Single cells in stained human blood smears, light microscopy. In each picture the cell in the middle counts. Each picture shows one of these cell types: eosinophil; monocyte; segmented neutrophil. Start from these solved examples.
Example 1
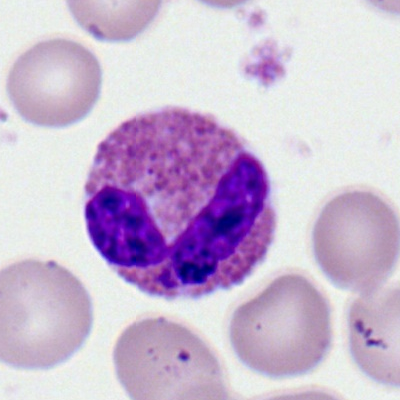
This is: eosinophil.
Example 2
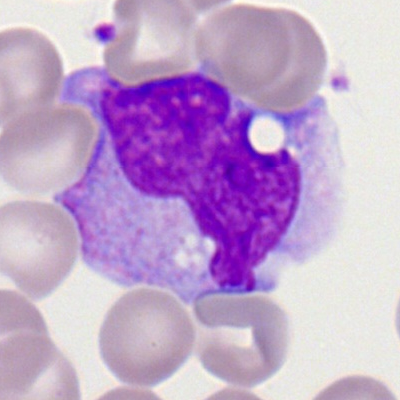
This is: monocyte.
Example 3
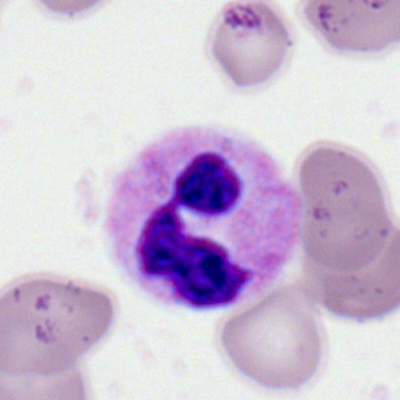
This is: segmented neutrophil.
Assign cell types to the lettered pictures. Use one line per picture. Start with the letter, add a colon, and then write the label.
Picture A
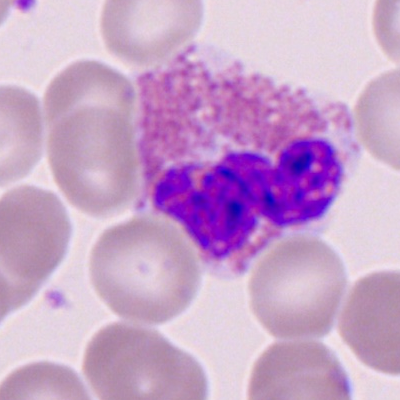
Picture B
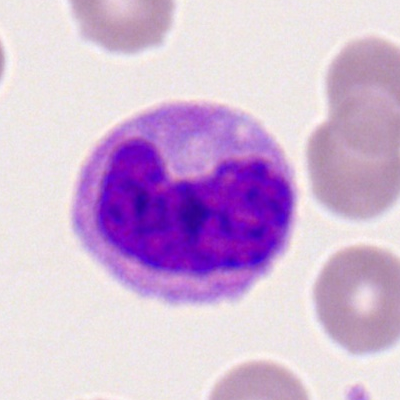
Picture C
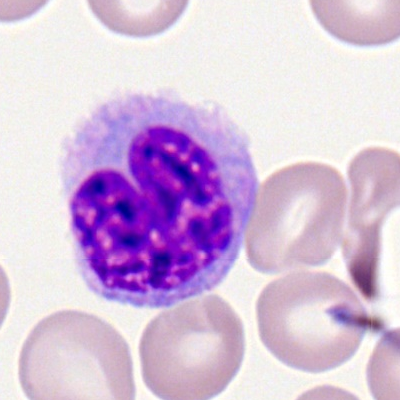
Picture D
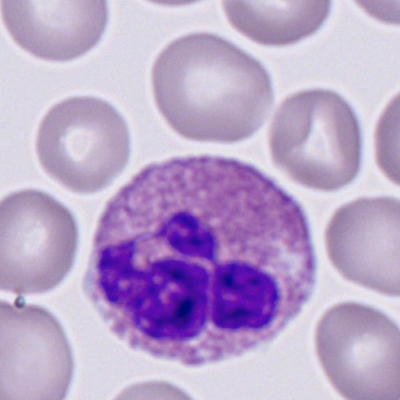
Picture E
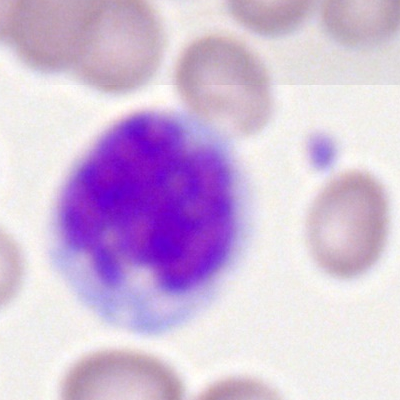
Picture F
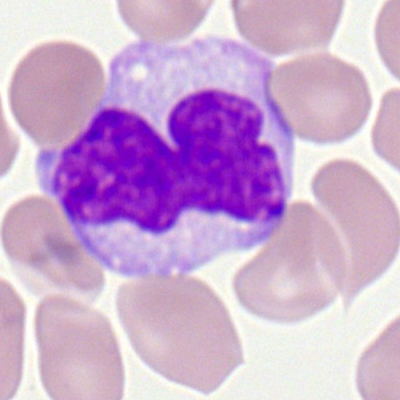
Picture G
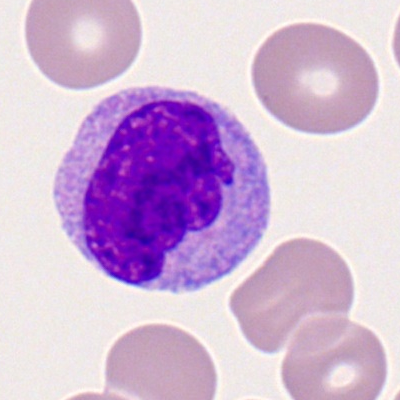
A: eosinophil.
B: monocyte.
C: monocyte.
D: eosinophil.
E: monocyte.
F: monocyte.
G: monocyte.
